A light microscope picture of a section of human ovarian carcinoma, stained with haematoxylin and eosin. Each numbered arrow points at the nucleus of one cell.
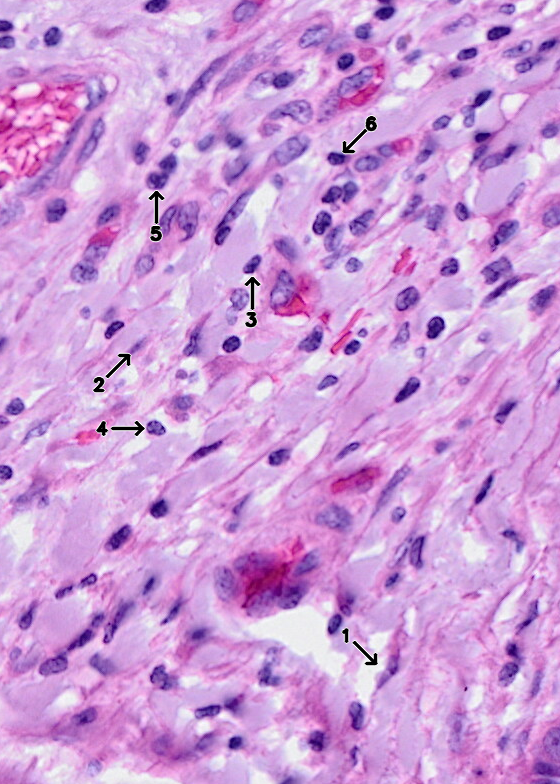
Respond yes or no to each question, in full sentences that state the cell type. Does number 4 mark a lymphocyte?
Yes, to put it simply, cell number 4 is a lymphocyte.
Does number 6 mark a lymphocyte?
Yes, on this slide, the cell with number 6 is a lymphocyte.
